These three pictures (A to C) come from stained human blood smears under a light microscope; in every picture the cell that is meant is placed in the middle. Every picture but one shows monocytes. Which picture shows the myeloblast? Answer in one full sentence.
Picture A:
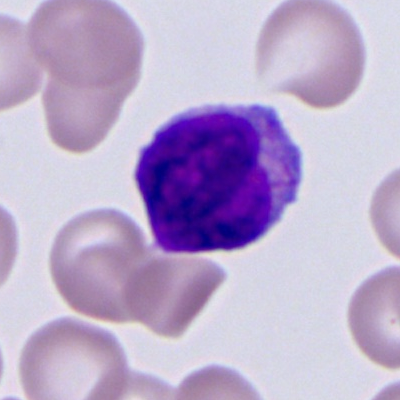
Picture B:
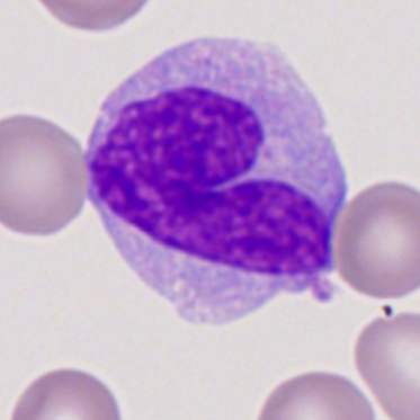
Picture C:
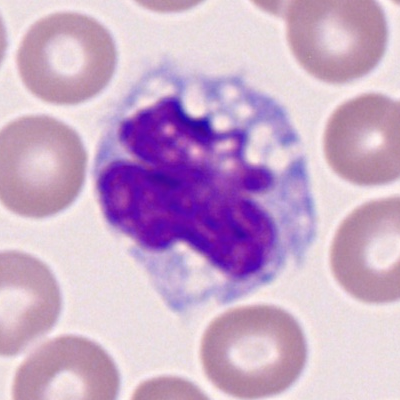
The cell in picture A is the myeloblast.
